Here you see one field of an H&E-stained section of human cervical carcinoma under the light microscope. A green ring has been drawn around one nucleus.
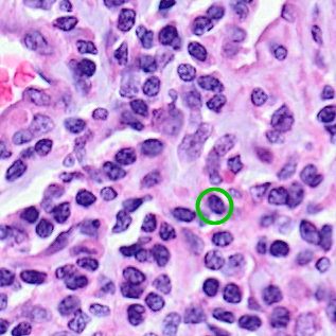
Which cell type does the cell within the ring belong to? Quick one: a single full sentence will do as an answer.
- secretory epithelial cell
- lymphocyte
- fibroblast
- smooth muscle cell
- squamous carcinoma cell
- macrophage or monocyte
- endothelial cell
Students should answer that the cell within the ring is a lymphocyte.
